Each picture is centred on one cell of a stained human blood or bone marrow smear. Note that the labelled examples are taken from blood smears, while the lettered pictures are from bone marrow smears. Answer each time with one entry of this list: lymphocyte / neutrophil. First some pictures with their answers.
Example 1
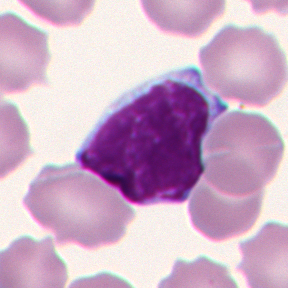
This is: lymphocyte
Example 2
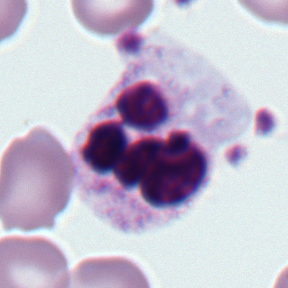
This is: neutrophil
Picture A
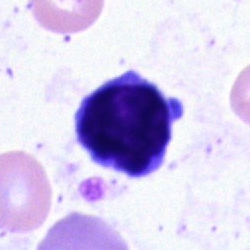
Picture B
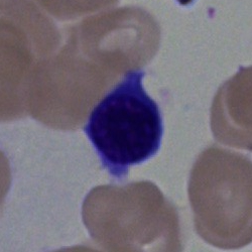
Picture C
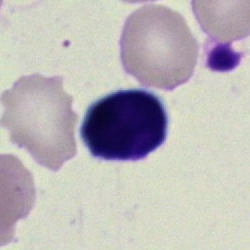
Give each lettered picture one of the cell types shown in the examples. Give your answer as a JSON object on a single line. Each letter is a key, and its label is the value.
{"A": "lymphocyte", "B": "lymphocyte", "C": "lymphocyte"}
